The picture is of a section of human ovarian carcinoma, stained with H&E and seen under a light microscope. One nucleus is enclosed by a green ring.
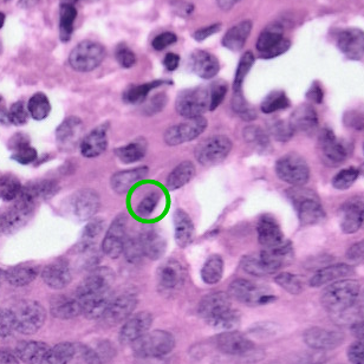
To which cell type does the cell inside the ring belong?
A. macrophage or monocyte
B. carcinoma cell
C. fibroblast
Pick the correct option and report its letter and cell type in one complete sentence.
Under option B, the cell inside the ring is listed as a carcinoma cell, which is correct.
